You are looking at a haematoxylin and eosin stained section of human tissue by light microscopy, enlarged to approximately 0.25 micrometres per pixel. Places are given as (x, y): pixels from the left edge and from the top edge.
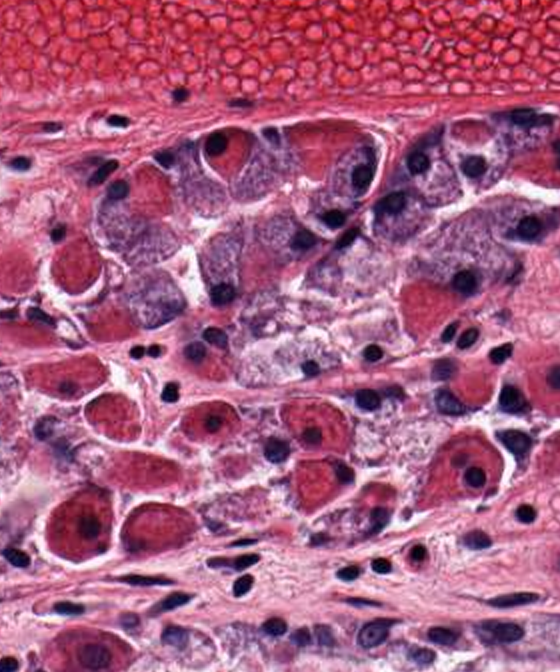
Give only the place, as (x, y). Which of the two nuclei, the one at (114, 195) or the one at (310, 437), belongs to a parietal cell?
(310, 437)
